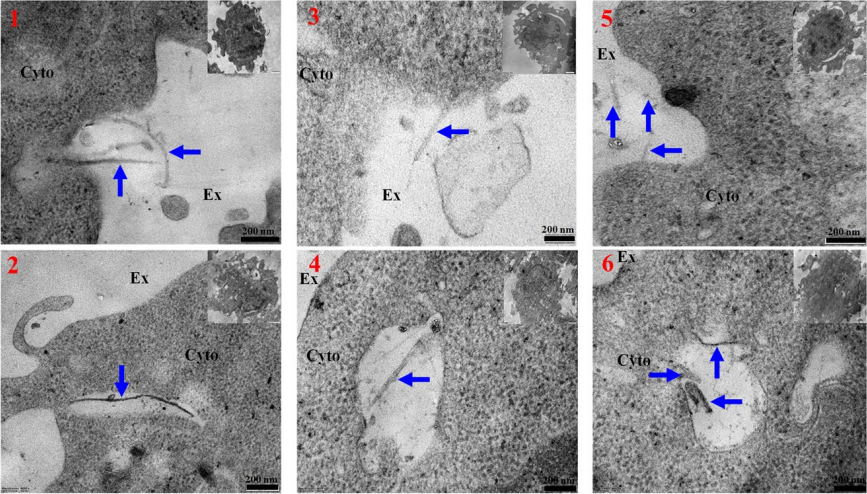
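In other views the fibres lie within pale membrane-bound vesicles inside the dense, finely granular cytoplasm. Small insets show whole cells with irregular, ruffled outlines.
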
